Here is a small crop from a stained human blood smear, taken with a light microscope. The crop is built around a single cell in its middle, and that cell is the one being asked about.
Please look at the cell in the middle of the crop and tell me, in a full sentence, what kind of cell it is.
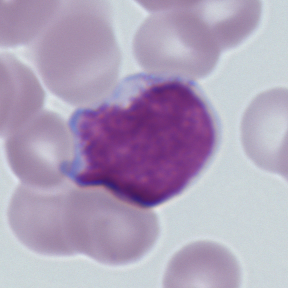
The centrally placed cell is classified as a large granular lymphocyte.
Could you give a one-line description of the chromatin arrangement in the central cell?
Coarse clumps are absent, and the chromatin is fine throughout.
